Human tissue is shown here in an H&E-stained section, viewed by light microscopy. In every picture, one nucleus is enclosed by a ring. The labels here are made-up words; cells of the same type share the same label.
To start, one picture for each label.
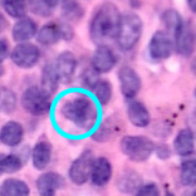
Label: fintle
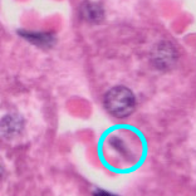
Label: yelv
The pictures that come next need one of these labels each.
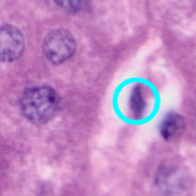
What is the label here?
yelv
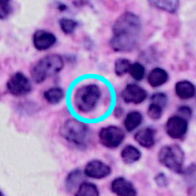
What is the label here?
fintle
